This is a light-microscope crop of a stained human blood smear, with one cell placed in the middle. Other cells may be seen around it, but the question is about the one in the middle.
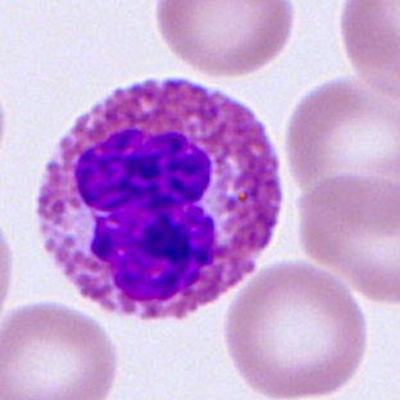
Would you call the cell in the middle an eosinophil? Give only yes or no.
yes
